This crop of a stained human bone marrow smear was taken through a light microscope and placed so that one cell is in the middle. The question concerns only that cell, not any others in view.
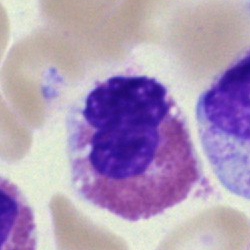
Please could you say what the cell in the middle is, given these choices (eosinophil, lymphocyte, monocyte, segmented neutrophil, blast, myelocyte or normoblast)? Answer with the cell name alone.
eosinophil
